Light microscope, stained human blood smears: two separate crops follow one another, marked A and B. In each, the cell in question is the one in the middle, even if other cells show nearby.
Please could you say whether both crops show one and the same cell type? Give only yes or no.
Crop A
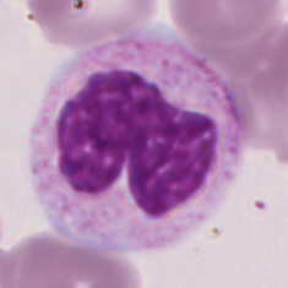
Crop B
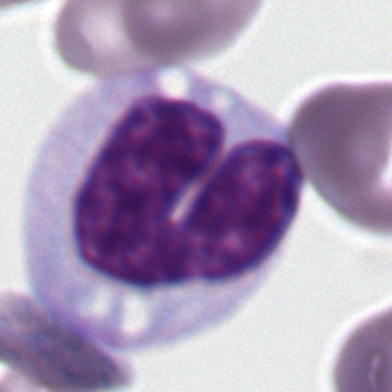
yes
